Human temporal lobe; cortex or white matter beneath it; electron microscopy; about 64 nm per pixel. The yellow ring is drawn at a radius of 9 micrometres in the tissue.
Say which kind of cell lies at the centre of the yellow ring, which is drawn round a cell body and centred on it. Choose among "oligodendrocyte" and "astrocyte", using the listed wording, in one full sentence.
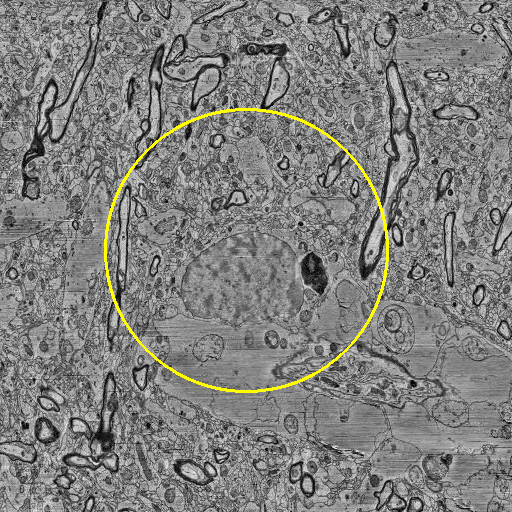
Going by the list, the cell at the yellow ring's centre is an oligodendrocyte.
